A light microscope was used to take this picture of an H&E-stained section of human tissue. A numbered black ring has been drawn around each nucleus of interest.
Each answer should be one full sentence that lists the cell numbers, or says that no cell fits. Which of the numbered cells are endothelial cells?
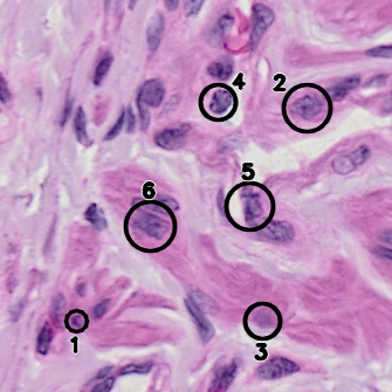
The cells to which the numbers 2 and 5 refer are endothelial cells.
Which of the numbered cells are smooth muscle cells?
In terms of cell type, cells 1, 3 and 6 are smooth muscle cells.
